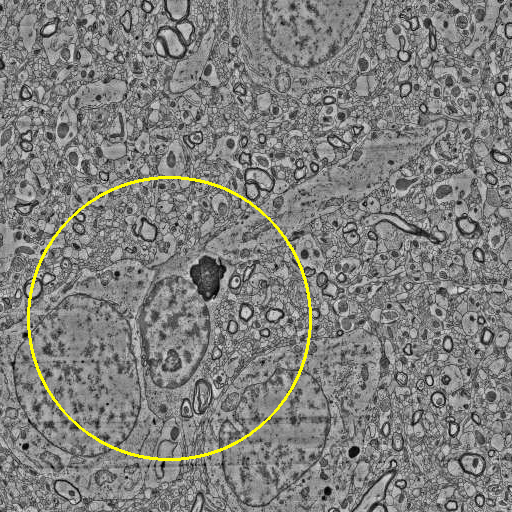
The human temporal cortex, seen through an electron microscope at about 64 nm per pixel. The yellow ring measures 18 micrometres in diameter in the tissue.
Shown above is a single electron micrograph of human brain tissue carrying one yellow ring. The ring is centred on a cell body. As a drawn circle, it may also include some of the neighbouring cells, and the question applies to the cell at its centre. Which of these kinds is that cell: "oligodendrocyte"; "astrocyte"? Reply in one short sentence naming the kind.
The cell marked by the ring is an oligodendrocyte.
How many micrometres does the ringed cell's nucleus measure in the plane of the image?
About 7 micrometres by about 5 micrometres in this plane.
